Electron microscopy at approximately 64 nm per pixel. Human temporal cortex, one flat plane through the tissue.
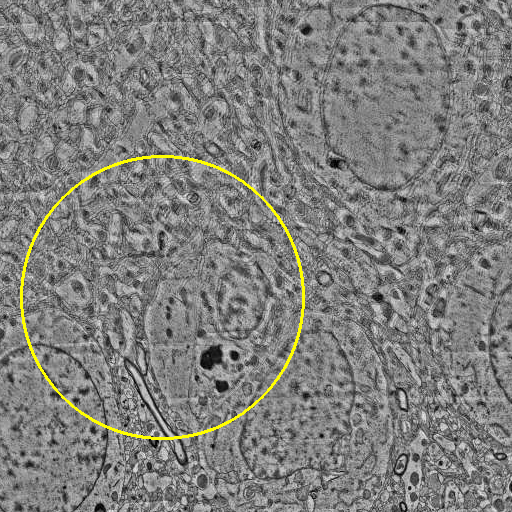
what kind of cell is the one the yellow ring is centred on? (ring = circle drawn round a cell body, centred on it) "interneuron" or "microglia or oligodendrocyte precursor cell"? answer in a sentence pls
The ring is drawn around a microglial cell or oligodendrocyte precursor cell.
